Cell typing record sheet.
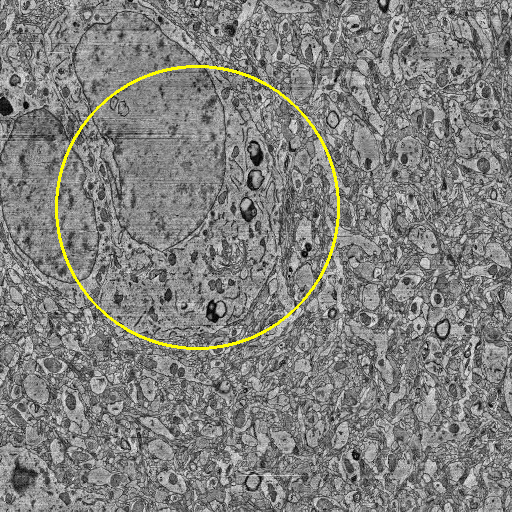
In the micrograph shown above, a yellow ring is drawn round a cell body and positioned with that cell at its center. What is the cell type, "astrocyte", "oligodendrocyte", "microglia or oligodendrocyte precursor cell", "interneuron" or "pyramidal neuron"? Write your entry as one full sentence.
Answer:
The cell body at the center of the ring belongs to a pyramidal neuron.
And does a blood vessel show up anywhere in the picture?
No.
